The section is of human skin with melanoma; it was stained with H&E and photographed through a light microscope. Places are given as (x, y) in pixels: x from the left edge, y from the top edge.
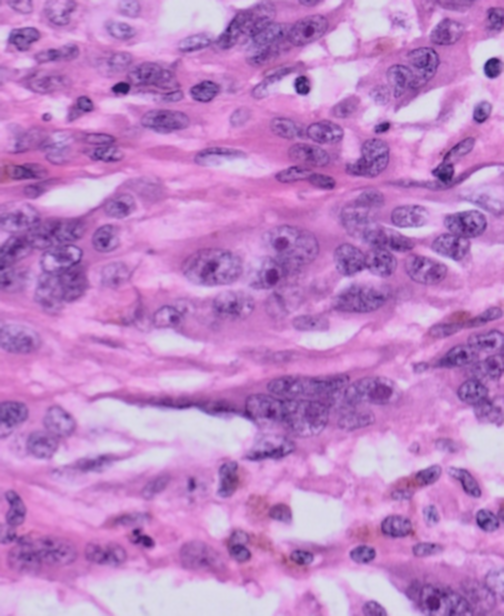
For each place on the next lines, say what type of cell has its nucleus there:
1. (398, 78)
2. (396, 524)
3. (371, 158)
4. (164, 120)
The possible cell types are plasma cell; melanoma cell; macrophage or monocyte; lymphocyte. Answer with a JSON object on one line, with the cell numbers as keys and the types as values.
{"1": "melanoma cell", "2": "macrophage or monocyte", "3": "melanoma cell", "4": "melanoma cell"}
